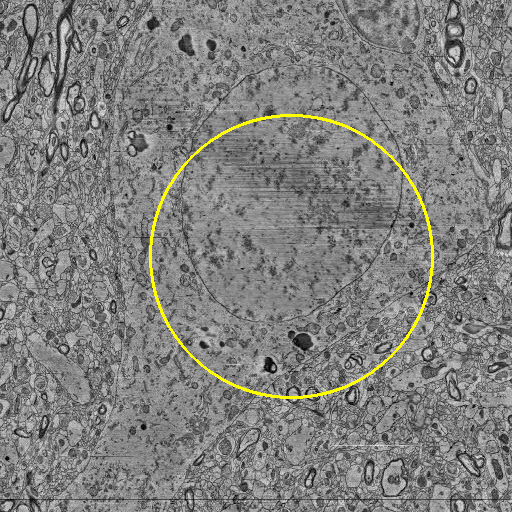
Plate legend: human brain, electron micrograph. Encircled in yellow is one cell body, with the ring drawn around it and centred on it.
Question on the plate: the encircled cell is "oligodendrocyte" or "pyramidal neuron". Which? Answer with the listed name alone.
pyramidal neuron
